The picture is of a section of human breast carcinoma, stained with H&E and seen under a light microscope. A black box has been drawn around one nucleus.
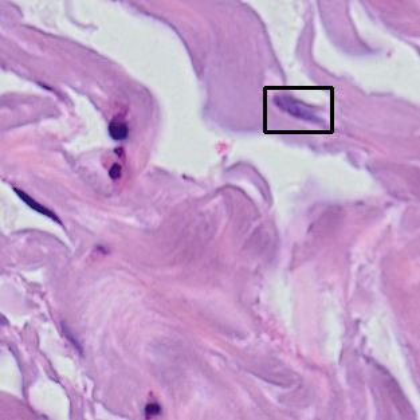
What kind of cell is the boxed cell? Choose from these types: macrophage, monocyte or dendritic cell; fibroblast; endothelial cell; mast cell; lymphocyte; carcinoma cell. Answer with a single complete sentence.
In the context of this tissue, the boxed cell is a fibroblast.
